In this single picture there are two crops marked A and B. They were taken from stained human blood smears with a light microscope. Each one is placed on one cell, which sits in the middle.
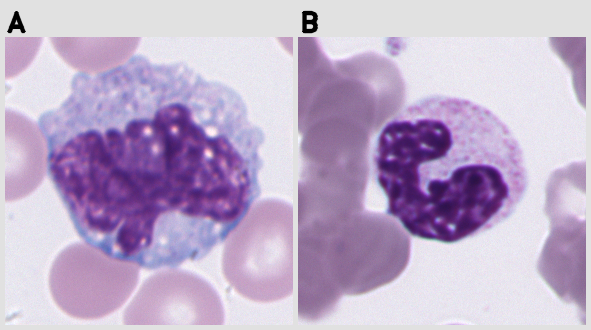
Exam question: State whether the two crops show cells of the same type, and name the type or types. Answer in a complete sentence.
No, crop A shows a monocyte, whereas a segmented neutrophil is what crop B shows.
